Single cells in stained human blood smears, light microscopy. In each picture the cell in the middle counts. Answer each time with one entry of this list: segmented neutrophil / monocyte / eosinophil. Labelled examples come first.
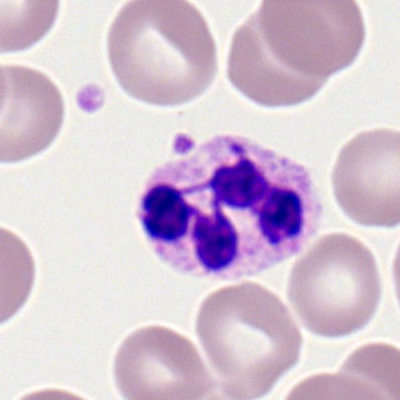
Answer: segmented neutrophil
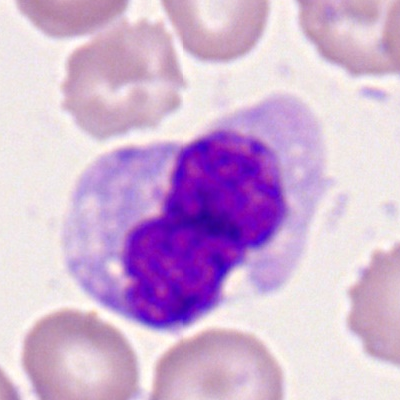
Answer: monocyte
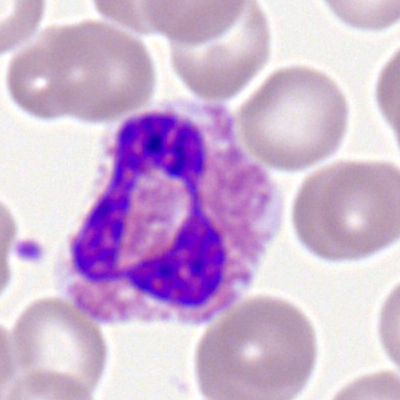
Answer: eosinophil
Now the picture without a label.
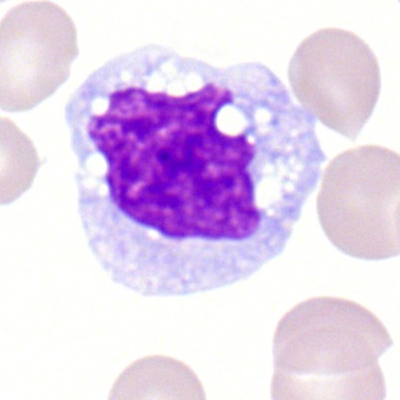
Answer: monocyte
